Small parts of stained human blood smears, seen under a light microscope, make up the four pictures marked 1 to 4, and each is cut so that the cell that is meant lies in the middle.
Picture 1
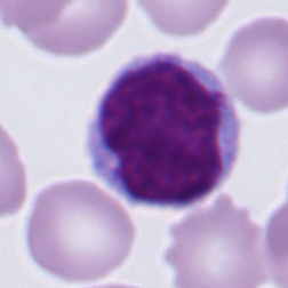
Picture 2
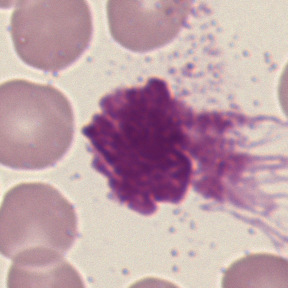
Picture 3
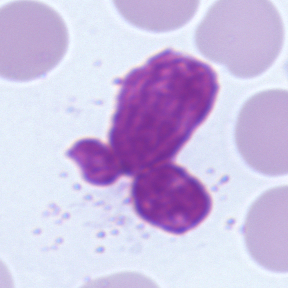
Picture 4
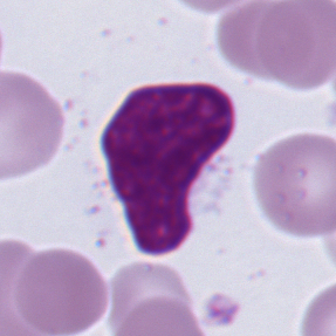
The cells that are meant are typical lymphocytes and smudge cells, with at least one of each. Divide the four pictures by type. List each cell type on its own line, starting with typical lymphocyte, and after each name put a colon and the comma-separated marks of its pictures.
typical lymphocyte: 1
smudge cell: 2, 3, 4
